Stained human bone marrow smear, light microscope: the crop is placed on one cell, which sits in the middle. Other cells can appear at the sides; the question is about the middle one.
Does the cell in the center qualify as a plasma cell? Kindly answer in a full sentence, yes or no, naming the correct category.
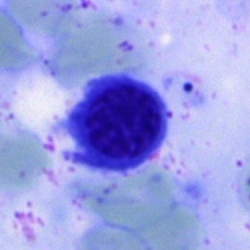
No, this is not a plasma cell at all; the cell in the middle is an erythroblast.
